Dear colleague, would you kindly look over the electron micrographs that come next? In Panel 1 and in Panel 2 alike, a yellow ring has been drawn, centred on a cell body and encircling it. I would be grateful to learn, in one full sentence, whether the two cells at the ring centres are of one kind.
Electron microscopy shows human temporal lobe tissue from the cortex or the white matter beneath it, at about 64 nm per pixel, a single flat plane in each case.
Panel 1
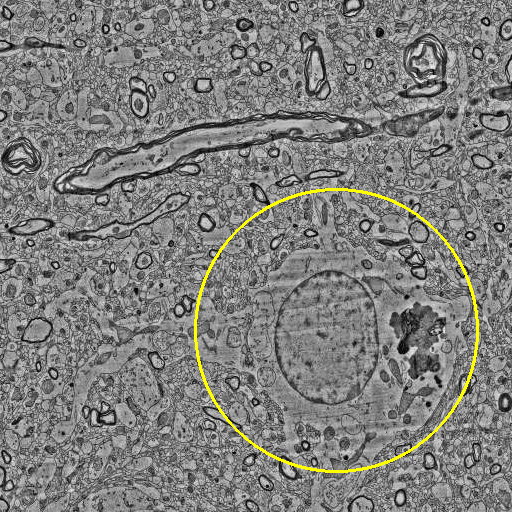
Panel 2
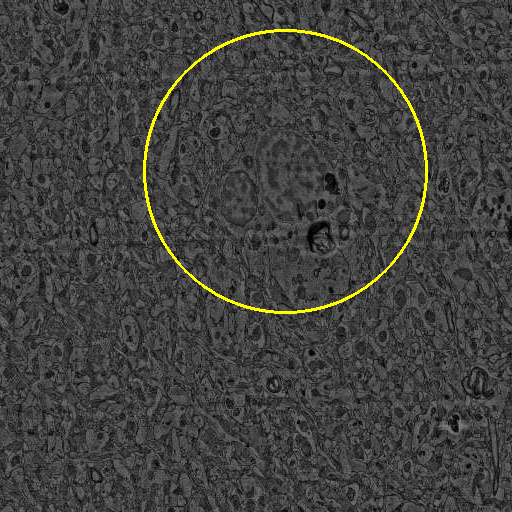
No, the cells in the middle of the rings in the two panels are of two kinds.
